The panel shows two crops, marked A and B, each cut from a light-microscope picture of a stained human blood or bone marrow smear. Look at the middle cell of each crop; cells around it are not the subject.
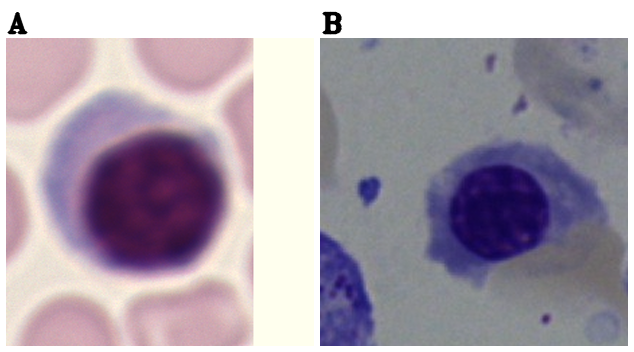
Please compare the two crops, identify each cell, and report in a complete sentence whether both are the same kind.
No, record crop A as a lymphocyte and crop B as an erythroblast.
